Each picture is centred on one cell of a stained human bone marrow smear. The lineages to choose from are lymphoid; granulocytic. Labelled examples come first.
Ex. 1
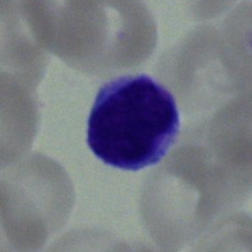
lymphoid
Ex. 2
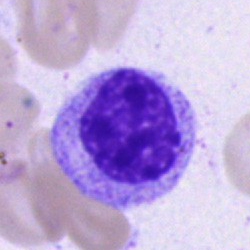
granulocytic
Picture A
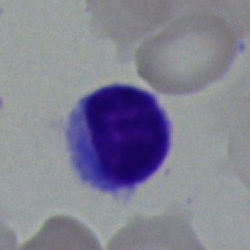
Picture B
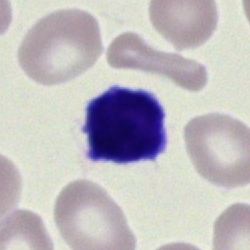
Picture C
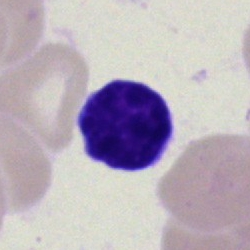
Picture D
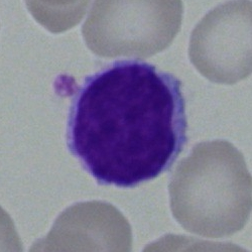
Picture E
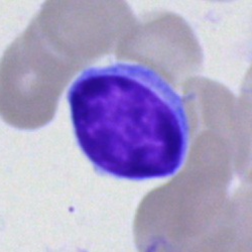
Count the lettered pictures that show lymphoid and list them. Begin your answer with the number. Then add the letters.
Count: 5 (A, B, C, D, E)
